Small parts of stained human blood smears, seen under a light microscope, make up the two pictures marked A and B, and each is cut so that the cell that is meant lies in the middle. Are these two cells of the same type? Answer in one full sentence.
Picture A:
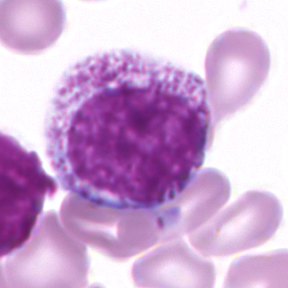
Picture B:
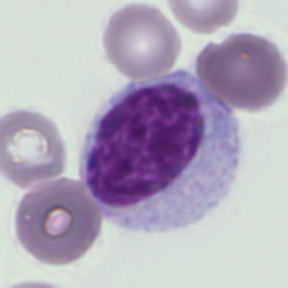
Yes, the two pictures both show myelocytes.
